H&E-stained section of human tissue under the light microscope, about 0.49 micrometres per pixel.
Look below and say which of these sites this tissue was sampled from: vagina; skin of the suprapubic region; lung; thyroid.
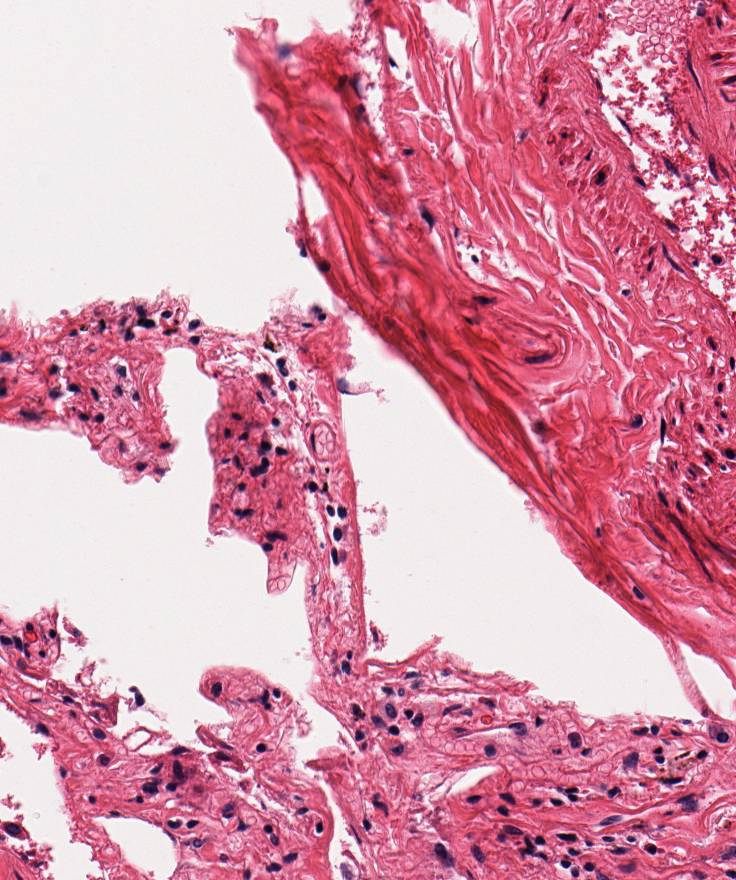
lung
